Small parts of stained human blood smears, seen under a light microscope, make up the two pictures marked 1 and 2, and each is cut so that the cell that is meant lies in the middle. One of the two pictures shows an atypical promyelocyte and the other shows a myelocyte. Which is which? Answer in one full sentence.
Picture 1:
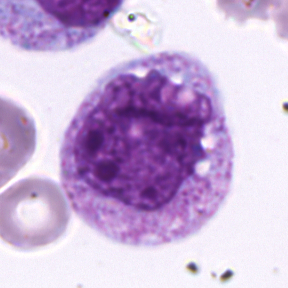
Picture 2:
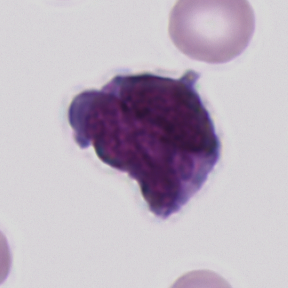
It is picture 1 that shows a myelocyte, and picture 2 that shows an atypical promyelocyte.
